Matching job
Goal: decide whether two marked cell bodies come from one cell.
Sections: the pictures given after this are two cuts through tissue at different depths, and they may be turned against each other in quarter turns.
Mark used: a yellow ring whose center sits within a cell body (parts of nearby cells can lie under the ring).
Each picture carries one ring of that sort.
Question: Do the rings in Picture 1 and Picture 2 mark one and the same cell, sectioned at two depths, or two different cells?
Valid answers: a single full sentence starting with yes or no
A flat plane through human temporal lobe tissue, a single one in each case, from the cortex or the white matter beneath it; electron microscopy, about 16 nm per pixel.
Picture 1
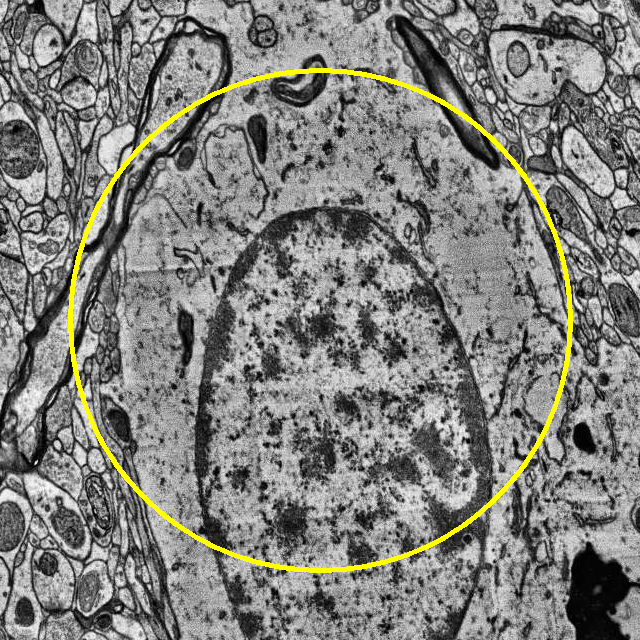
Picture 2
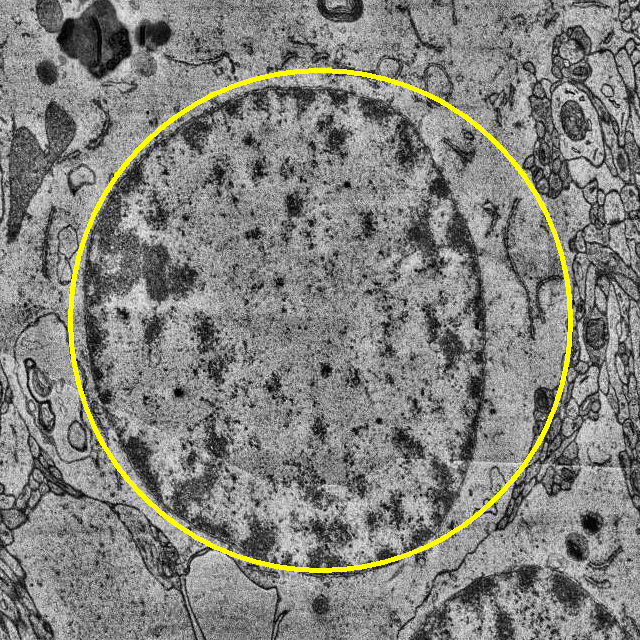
No, two separate cells are outlined by these yellow rings.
